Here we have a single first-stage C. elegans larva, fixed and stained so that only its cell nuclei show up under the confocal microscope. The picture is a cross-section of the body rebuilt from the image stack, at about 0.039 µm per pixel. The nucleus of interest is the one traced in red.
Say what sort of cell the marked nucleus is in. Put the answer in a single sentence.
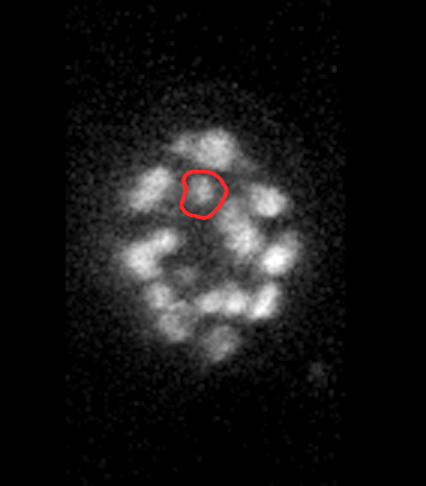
What is marked is the nucleus of a pharyngeal epithelial cell.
